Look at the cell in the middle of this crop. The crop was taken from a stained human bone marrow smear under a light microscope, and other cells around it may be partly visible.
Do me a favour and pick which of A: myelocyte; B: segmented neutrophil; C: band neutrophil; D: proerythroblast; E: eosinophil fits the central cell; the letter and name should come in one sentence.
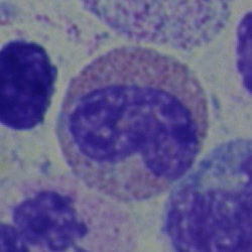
Seen at the centre of the crop is an eosinophil, so option E is correct.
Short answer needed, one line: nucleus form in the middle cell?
The nuclear material is gathered into one compact round, oval or kidney-shaped mass.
